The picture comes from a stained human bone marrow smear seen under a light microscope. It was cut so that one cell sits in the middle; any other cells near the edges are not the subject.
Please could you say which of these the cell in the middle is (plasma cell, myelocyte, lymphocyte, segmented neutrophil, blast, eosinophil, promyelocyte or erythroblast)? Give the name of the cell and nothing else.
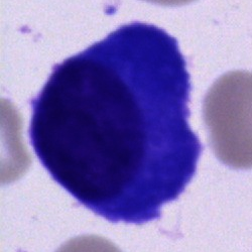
plasma cell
